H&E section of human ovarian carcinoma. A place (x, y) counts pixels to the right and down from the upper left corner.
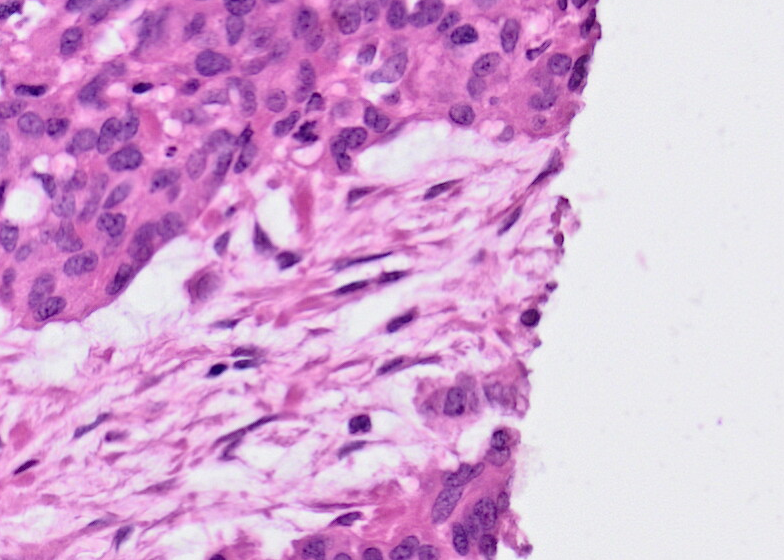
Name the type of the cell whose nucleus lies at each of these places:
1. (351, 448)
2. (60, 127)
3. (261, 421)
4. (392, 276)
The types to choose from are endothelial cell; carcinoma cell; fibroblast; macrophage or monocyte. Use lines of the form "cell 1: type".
cell 1: fibroblast
cell 2: carcinoma cell
cell 3: fibroblast
cell 4: fibroblast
